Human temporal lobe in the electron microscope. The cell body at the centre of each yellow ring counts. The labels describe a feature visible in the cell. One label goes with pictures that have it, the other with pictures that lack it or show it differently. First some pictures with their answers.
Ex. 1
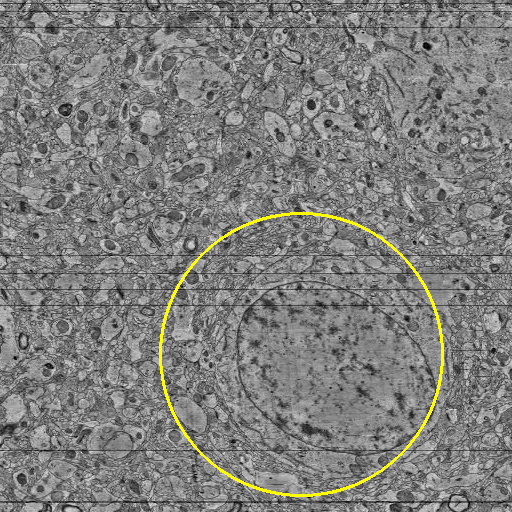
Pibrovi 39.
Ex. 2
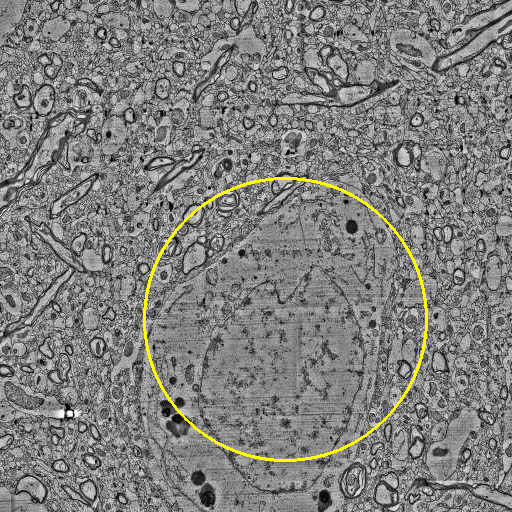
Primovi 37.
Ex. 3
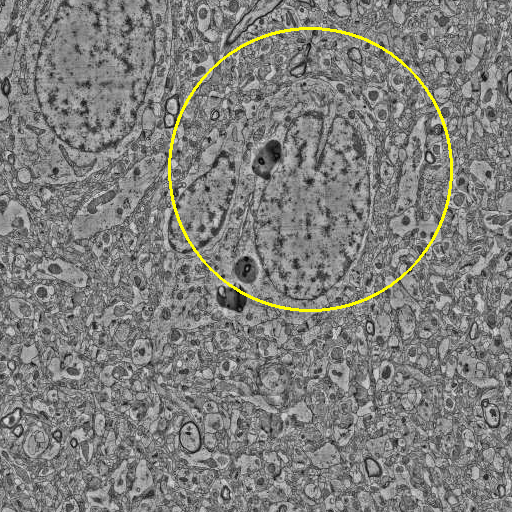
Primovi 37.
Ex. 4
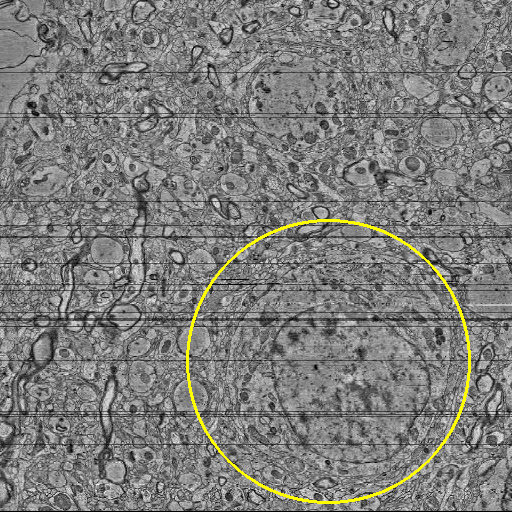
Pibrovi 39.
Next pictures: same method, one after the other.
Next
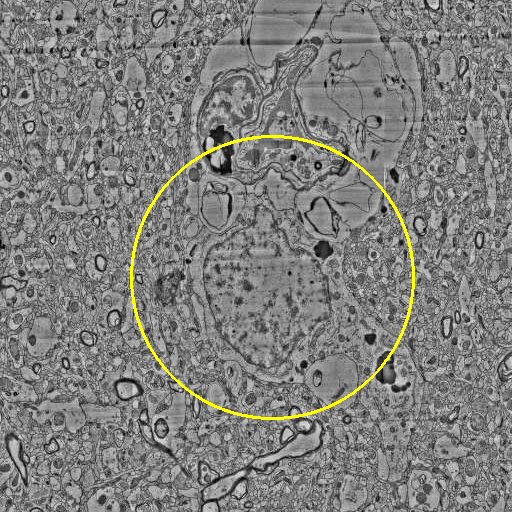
Pibrovi 39.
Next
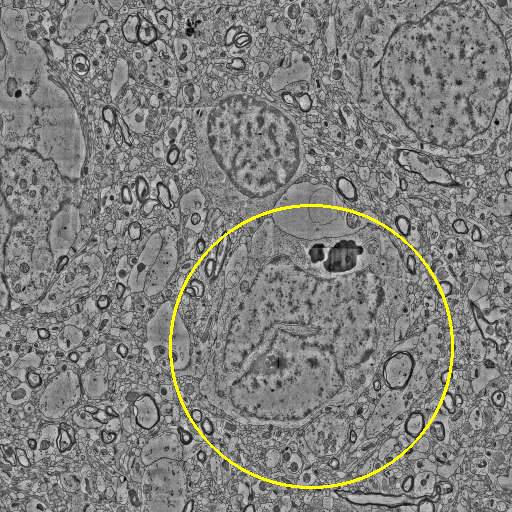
Primovi 37.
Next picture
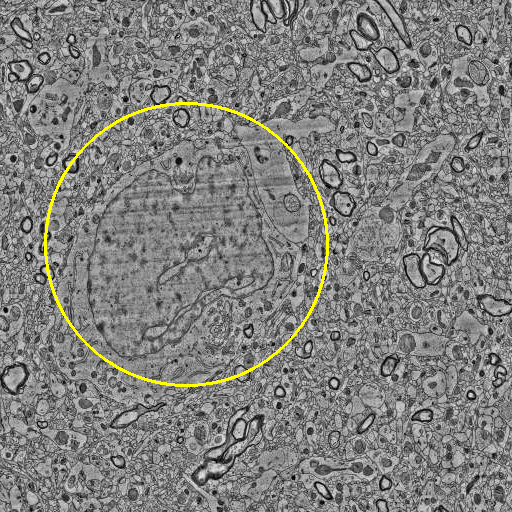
Primovi 37.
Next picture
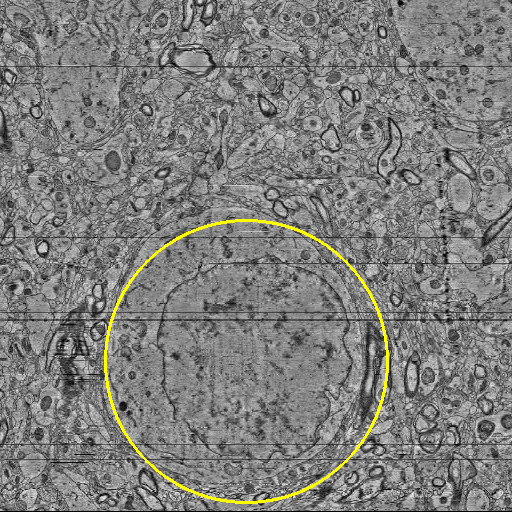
Primovi 37.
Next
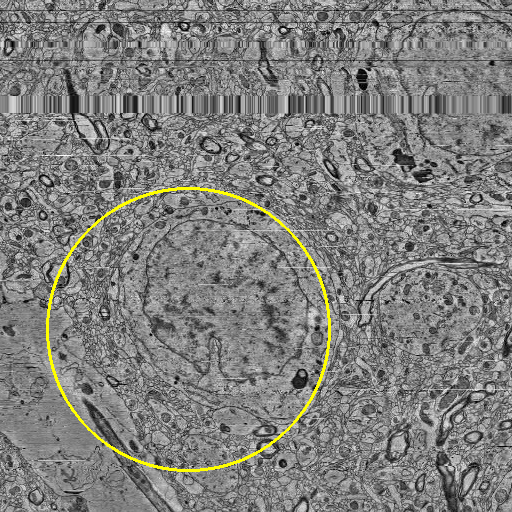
Primovi 37.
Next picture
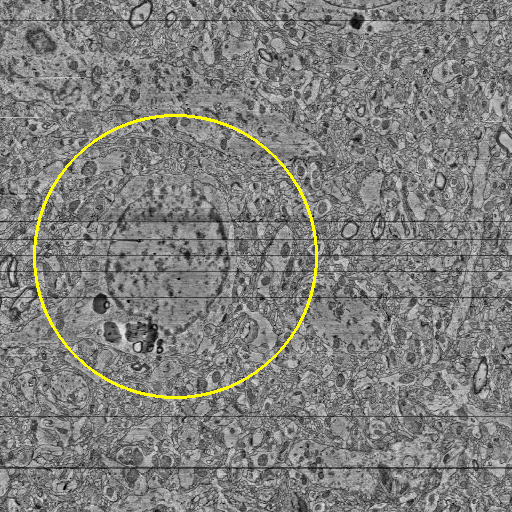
Pibrovi 39.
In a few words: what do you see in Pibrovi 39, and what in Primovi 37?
Pibrovi 39, smooth nuclear envelopes without deep folds; Primovi 37, deeply folded or indented nuclear envelopes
